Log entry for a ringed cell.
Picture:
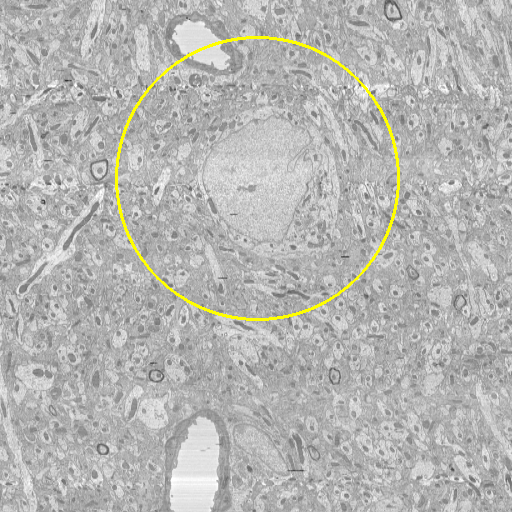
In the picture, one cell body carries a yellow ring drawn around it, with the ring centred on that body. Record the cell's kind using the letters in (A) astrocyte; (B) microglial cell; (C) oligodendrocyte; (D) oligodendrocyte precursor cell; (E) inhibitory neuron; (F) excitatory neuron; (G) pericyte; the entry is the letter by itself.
E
